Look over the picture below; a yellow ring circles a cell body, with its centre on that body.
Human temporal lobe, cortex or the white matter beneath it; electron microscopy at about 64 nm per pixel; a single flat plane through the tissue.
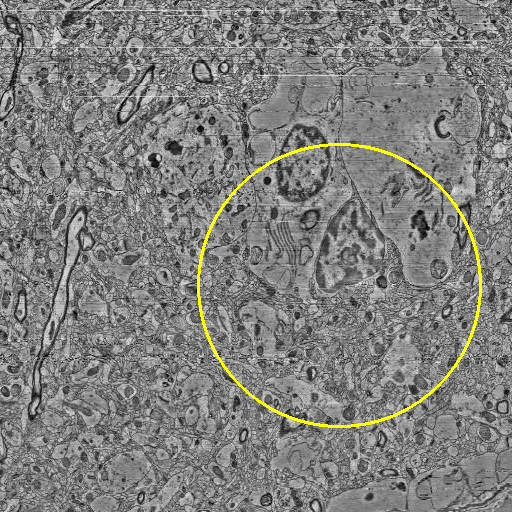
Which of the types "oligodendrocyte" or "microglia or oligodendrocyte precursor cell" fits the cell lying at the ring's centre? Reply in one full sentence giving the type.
The picture shows a microglial cell or oligodendrocyte precursor cell at the centre of the yellow ring.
